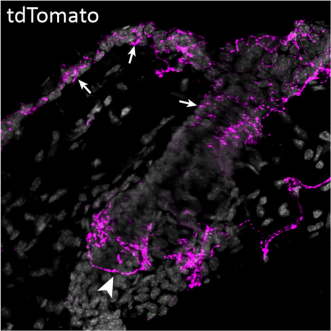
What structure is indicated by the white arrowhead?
Nerve endings around hair follicles.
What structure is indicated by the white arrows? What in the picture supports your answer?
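Thin beaded magenta processes lie within the thin outer epithelial layer. The processes end among the epithelial nuclei without forming a capsule. So: free nerve endings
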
